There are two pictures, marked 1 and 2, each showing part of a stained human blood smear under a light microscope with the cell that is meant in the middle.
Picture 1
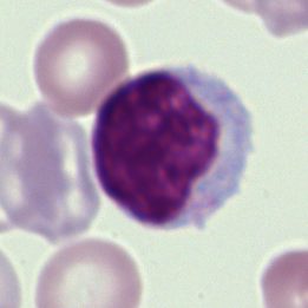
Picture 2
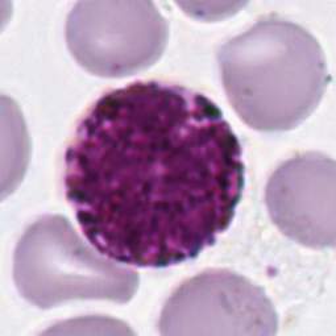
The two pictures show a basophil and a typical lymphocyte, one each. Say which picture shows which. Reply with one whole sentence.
Picture 1 is of a typical lymphocyte, and picture 2 is of a basophil.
